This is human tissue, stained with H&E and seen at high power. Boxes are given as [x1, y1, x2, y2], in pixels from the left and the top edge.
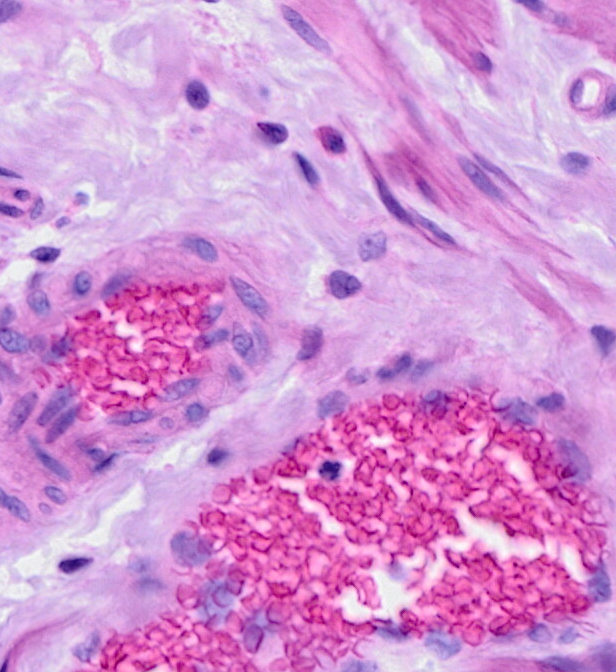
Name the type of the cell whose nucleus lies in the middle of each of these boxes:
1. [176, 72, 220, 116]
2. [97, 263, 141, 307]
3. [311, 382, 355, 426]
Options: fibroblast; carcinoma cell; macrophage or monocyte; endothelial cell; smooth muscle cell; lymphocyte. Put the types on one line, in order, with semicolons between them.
fibroblast; endothelial cell; endothelial cell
